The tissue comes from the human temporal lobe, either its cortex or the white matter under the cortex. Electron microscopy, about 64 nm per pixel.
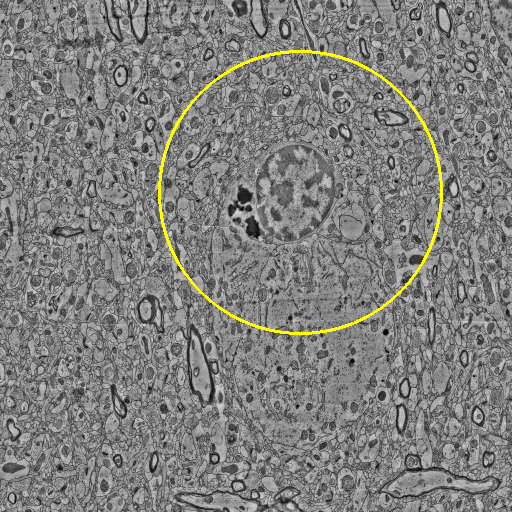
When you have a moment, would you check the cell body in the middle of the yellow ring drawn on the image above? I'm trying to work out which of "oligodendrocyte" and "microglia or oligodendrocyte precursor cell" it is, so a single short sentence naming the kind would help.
This cell body belongs to an oligodendrocyte.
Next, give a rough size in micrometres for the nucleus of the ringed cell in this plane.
In this plane, approximately 6 by 5 micrometers.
